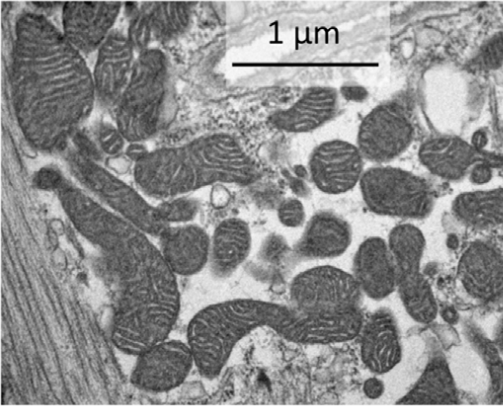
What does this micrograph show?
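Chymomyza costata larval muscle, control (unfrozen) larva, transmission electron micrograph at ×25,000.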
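The mitochondria vary from small round profiles to long, curved and branching ones, each with a dark matrix crossed by closely packed, parallel cristae. Between them lie paler areas with small vesicles and fine granules, and an edge of filament bundles runs along the lower left margin.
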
